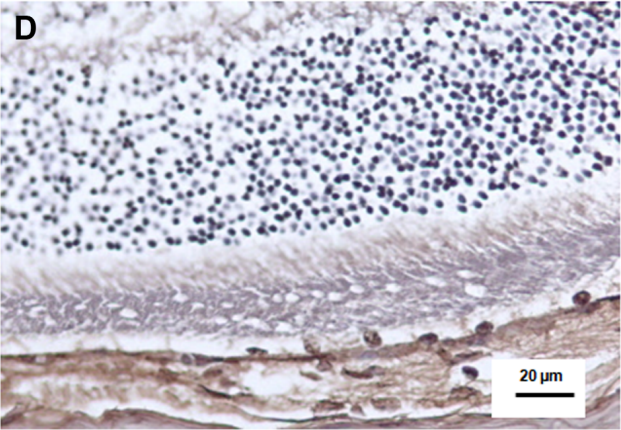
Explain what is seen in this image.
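Retina and choroid with a broad layer of small, round, dark blue nuclei in the upper part of the field. Below it lies a pale, finely striated band of photoreceptor segments. Under this is a row of scattered rounded nuclei at the interface with the underlying tissue. The lowest layer is loose, light brown tissue containing a few nuclei.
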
